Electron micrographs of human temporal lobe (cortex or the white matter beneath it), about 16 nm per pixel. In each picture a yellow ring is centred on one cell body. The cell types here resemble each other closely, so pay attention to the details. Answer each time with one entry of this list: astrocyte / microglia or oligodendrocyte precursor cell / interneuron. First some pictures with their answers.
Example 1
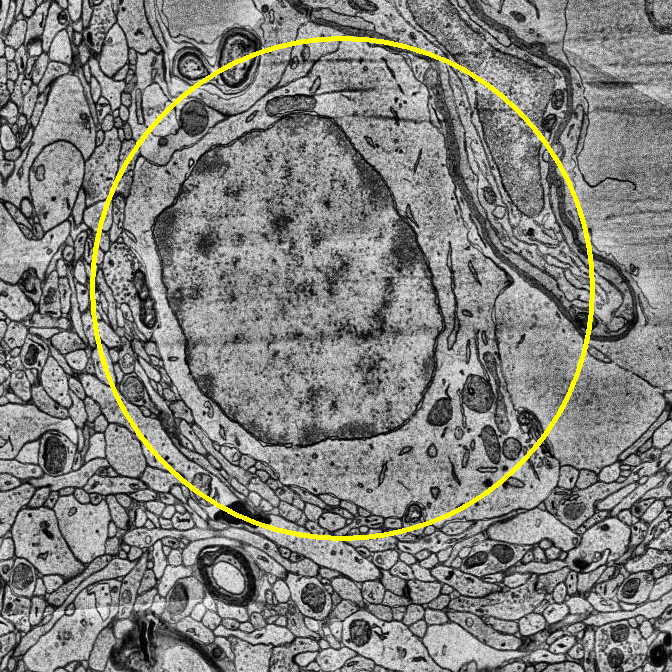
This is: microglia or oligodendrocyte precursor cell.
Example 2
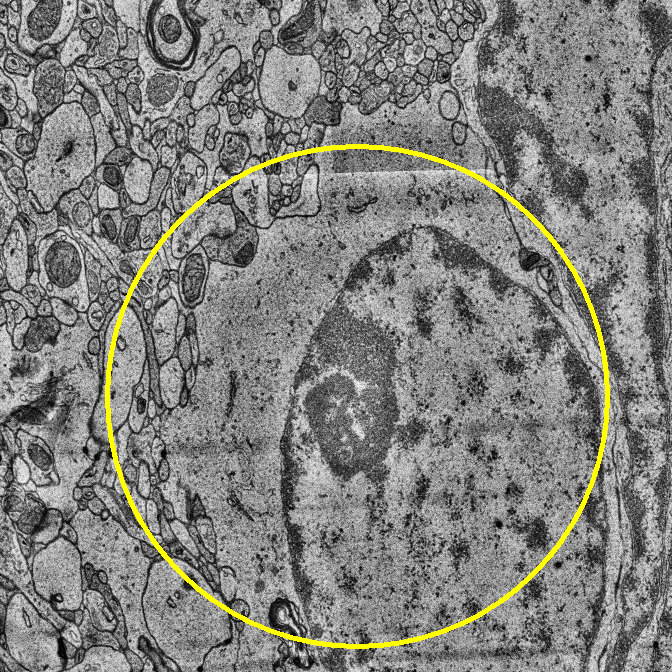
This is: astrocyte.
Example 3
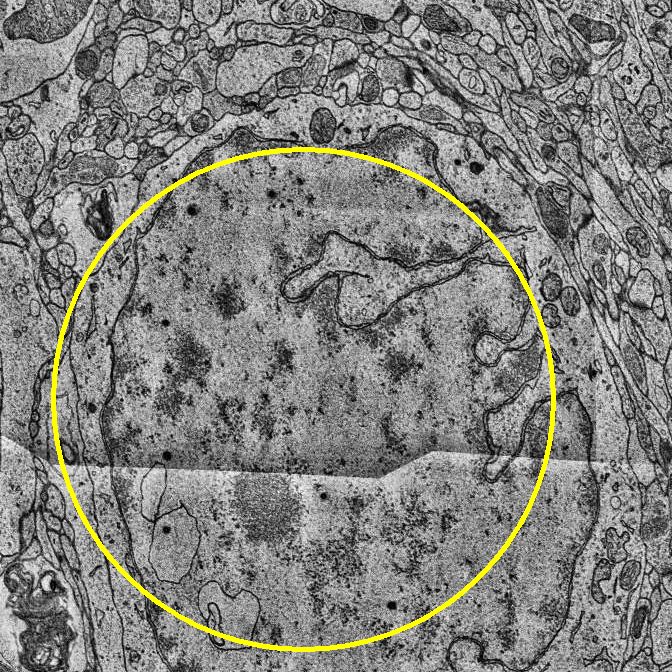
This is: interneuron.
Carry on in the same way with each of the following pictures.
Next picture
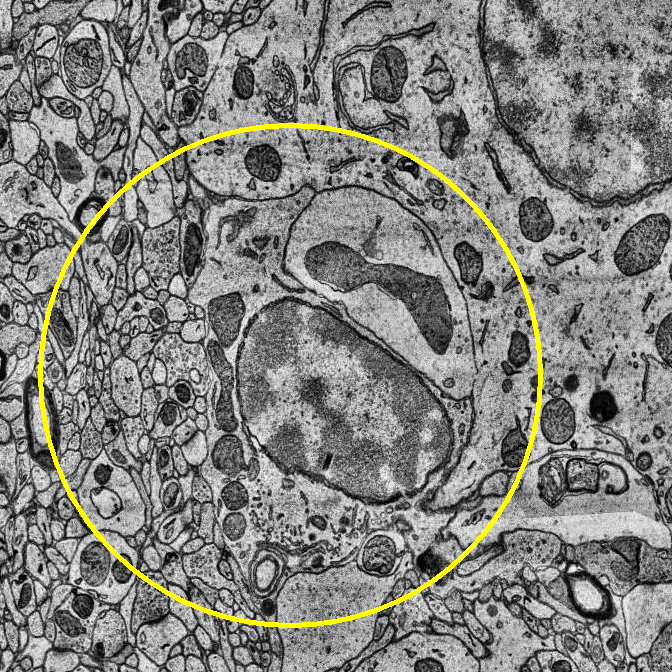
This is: microglia or oligodendrocyte precursor cell.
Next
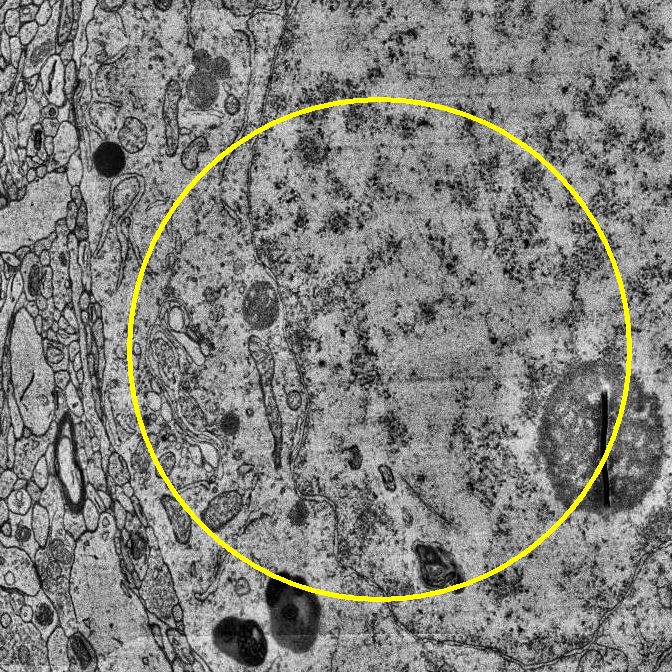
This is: interneuron.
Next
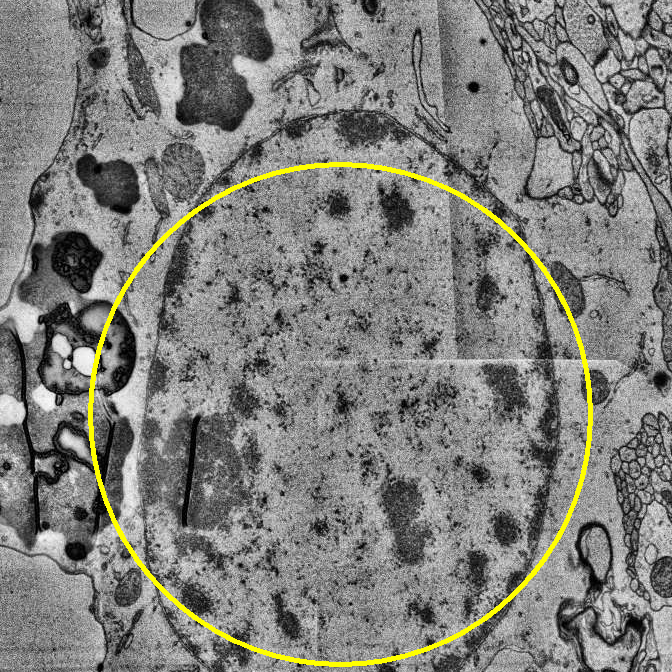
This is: astrocyte.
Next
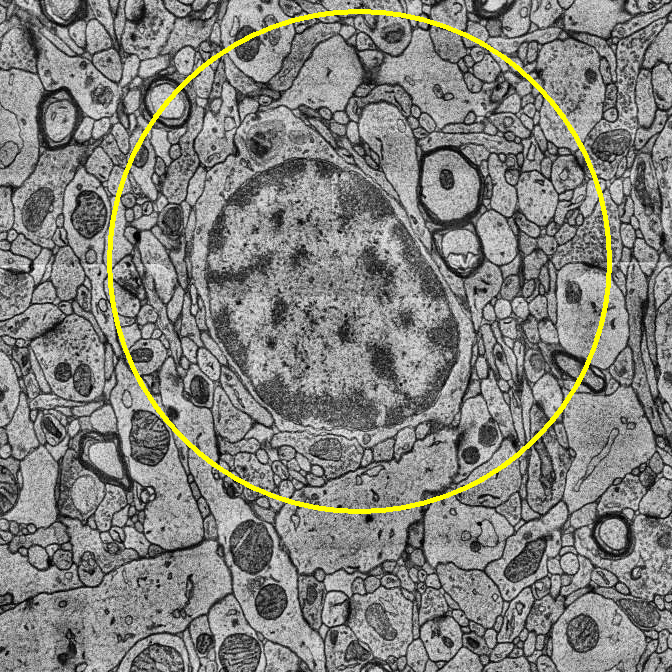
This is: microglia or oligodendrocyte precursor cell.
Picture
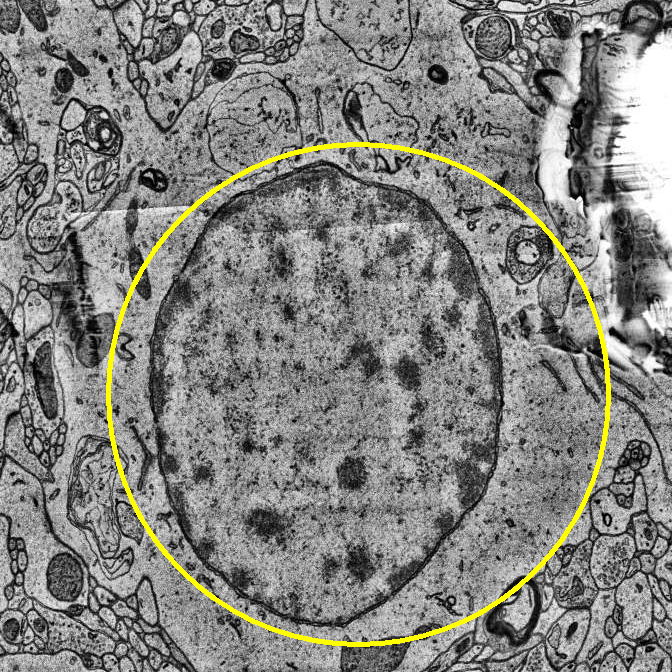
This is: astrocyte.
